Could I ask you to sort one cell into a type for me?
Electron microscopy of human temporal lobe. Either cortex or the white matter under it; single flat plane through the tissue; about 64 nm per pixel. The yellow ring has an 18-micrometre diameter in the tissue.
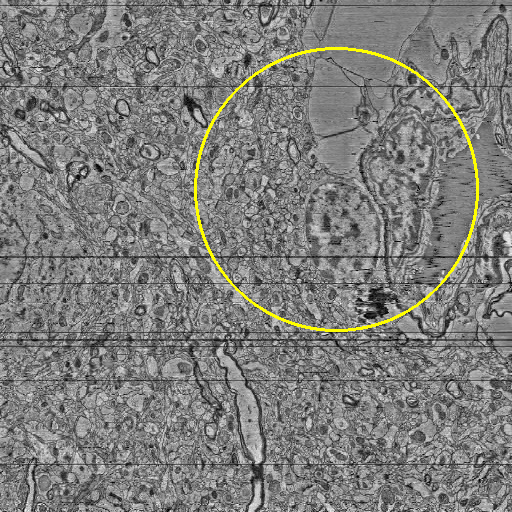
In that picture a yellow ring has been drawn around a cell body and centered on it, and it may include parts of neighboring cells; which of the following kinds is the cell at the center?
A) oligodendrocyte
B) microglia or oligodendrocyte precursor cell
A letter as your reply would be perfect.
A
